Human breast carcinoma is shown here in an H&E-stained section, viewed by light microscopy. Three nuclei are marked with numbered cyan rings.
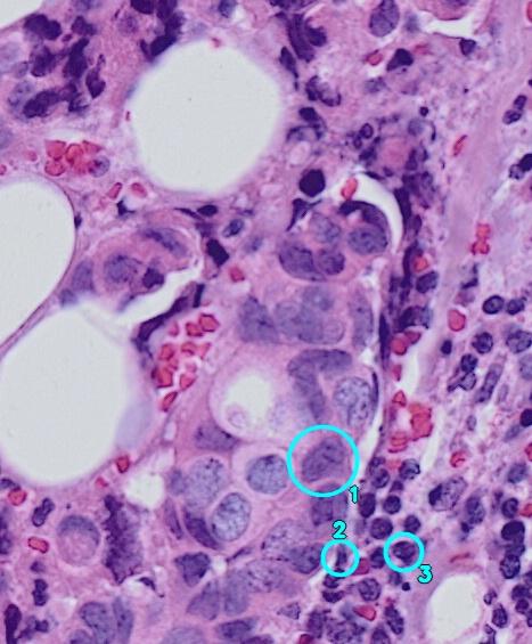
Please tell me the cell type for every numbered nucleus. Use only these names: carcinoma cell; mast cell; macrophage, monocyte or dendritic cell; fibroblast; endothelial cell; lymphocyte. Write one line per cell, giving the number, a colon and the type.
1: carcinoma cell
2: lymphocyte
3: lymphocyte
